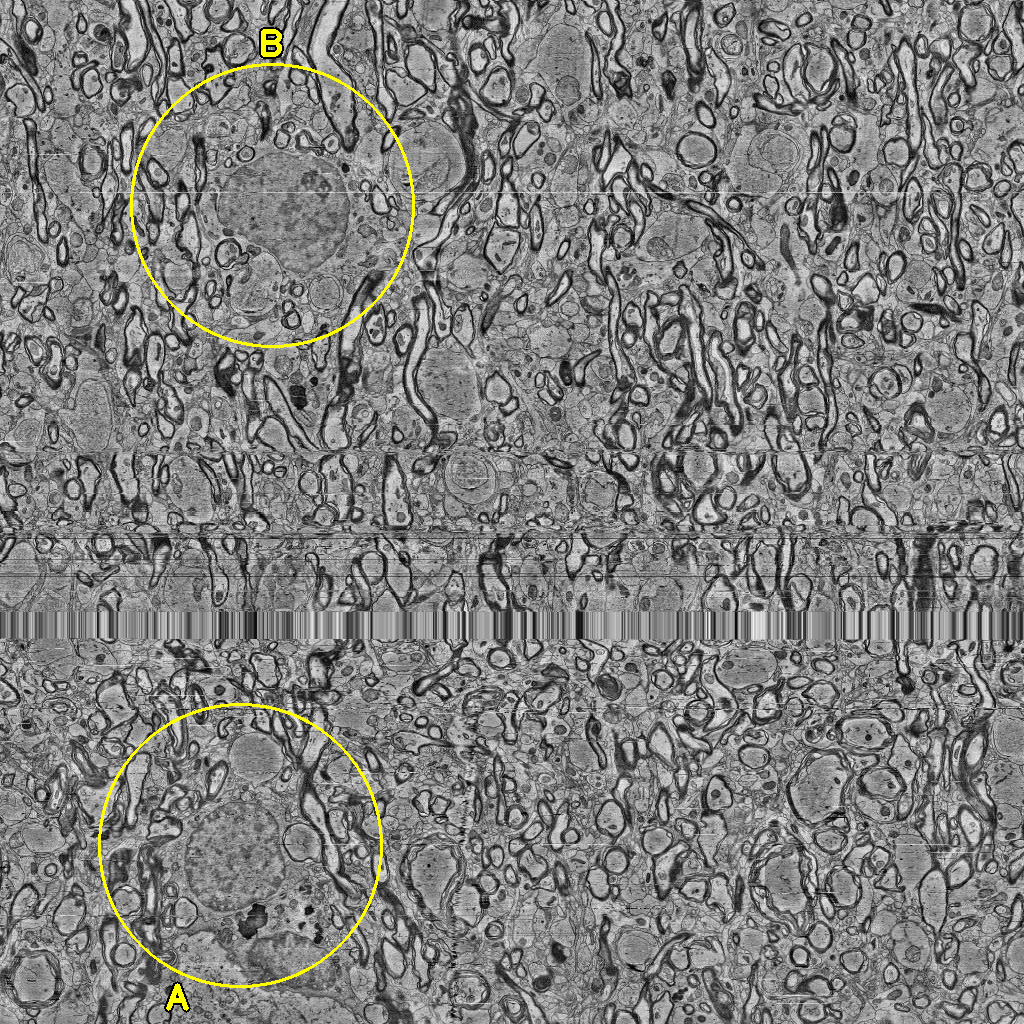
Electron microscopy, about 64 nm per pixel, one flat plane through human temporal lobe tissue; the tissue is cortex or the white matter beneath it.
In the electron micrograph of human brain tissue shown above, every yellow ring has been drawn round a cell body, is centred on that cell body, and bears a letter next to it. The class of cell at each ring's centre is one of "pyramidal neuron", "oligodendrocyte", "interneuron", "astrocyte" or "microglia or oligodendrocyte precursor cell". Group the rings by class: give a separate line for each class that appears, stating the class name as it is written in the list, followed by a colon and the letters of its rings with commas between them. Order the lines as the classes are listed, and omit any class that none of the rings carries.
oligodendrocyte: A, B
